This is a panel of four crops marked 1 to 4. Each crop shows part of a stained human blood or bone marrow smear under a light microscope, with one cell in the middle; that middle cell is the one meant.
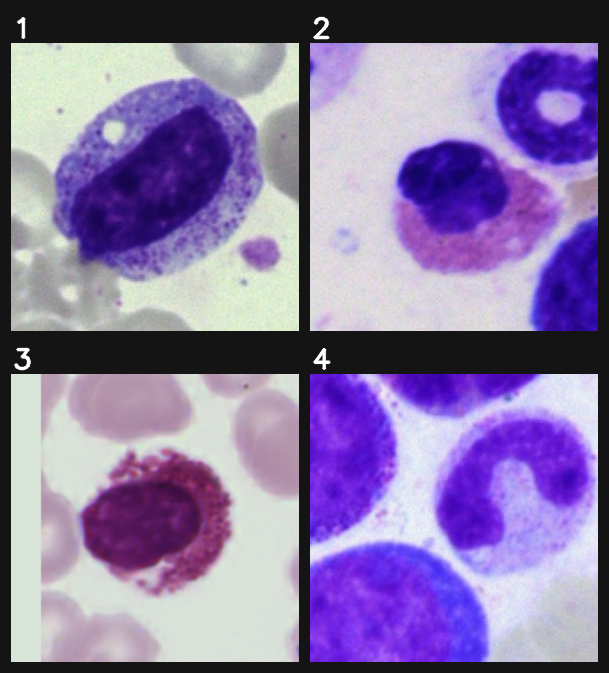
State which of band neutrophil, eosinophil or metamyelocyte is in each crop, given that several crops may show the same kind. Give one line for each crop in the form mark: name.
1: metamyelocyte
2: eosinophil
3: eosinophil
4: band neutrophil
